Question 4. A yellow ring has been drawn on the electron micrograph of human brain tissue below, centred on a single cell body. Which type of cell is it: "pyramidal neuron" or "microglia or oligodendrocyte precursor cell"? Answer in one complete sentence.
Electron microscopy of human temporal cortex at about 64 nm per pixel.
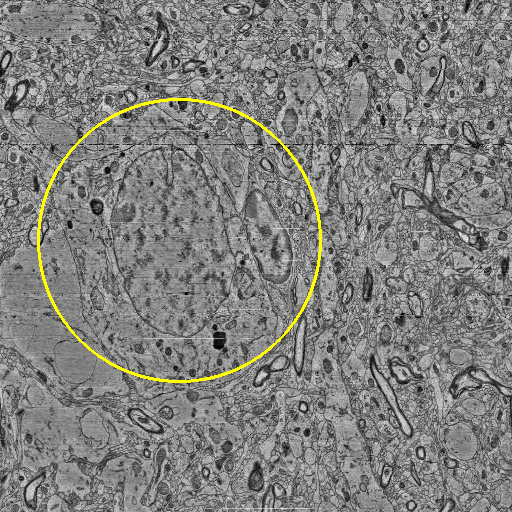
This cell body belongs to a pyramidal neuron.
